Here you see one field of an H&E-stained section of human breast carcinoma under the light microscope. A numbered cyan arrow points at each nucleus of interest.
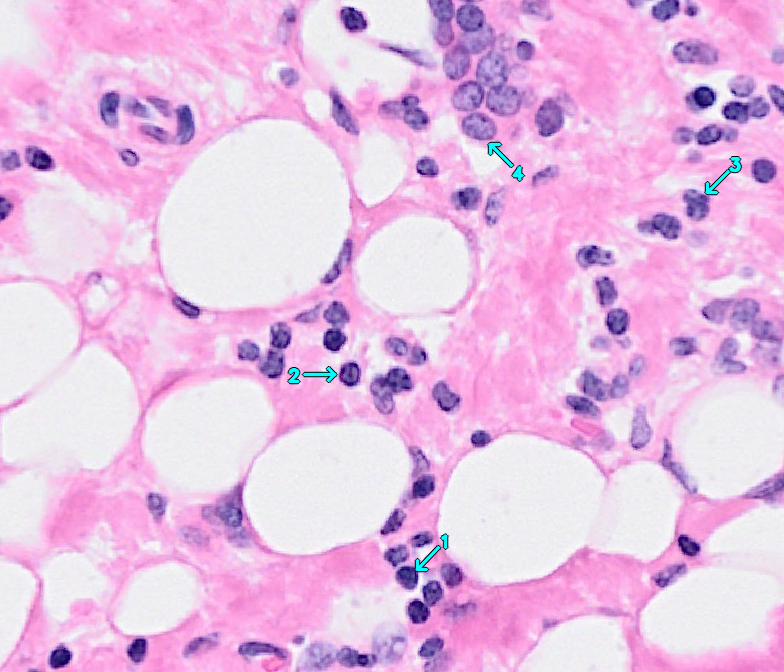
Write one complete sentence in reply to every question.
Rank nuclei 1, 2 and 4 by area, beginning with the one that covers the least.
From smallest to largest, the order is 1, 2, 4.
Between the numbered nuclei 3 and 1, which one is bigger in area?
Nucleus 3 covers more area, about 2 times as much as nucleus 1.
